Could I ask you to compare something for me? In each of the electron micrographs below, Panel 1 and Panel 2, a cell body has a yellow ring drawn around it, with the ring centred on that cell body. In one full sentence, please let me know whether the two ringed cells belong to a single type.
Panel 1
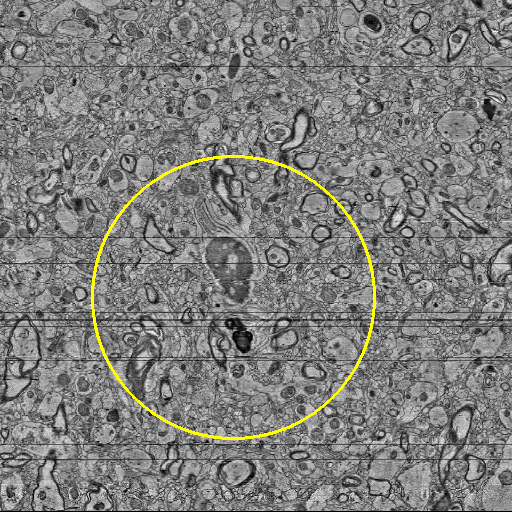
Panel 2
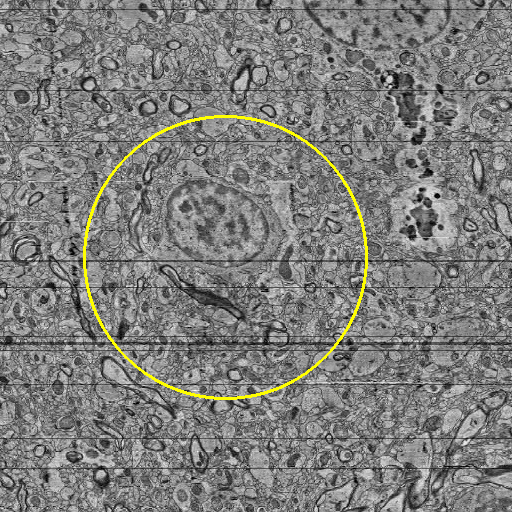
No, the two cells at the centres of the rings are of two types.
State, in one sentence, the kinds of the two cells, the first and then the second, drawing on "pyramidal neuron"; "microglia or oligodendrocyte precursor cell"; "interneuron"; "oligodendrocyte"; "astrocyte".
The ring in the second picture is centred on an oligodendrocyte, the ring in the first on a microglial cell or oligodendrocyte precursor cell.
